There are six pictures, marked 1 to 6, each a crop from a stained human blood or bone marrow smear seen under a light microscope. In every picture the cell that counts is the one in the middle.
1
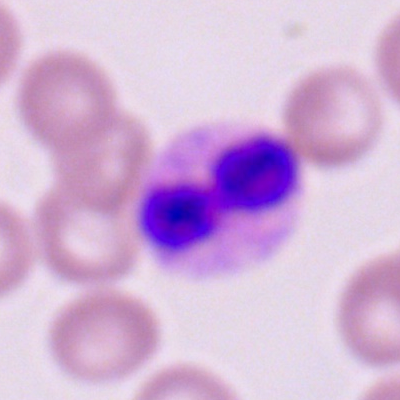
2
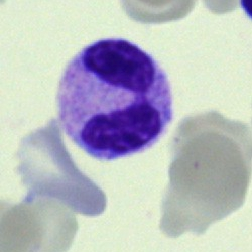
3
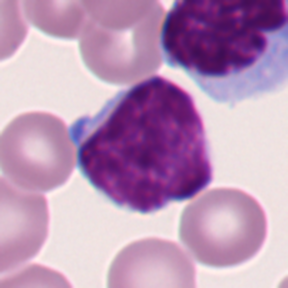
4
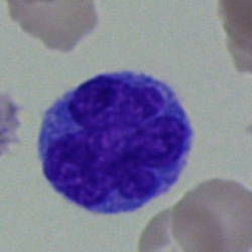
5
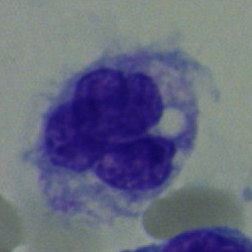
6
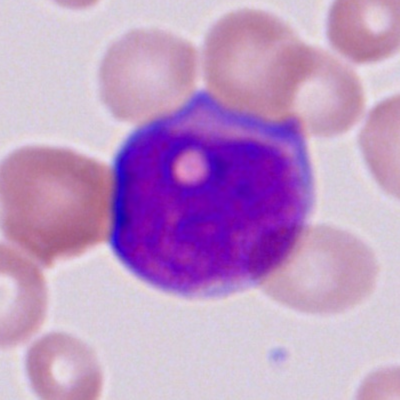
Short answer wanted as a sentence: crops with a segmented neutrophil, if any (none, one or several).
The cells at the centre of crops 1 and 2 represent segmented neutrophils.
